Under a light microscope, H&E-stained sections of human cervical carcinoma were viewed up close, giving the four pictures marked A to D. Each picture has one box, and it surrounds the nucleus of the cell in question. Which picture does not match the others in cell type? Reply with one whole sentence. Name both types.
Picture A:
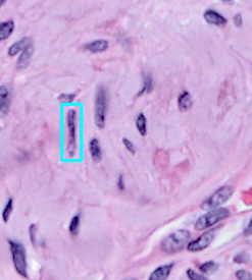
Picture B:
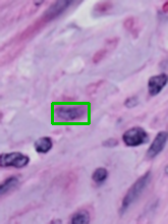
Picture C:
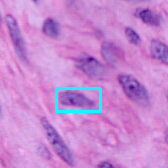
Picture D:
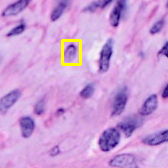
All pictures except A show smooth muscle cells; picture A shows a fibroblast.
